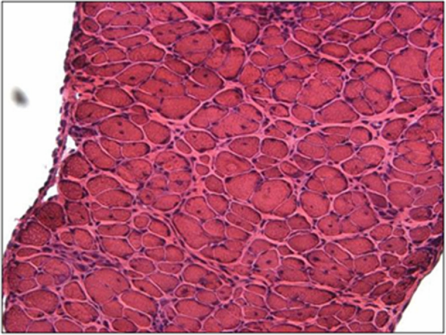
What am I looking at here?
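The fibers are pink, polygonal and closely packed, varying in size, with thin pink connective tissue borders between them. Many fibers hold a dark purple nucleus in their center rather than at their edge. Small groups of nuclei lie in the narrow spaces between fibers.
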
